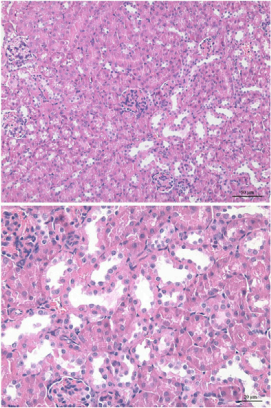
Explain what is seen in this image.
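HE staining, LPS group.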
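This is kidney cortex stained pink and purple, in which glomeruli lie among tubules, many of which are altered. Numerous tubules show widened, irregular, empty lumens that appear as white spaces. The epithelial cells lining these tubules are flattened and thinned, and their pink cytoplasm is reduced. Other tubules nearby keep a more cuboidal lining with round purple nuclei. Glomeruli appear as round tufts of purple nuclei within their capsules next to the damaged tubules.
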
